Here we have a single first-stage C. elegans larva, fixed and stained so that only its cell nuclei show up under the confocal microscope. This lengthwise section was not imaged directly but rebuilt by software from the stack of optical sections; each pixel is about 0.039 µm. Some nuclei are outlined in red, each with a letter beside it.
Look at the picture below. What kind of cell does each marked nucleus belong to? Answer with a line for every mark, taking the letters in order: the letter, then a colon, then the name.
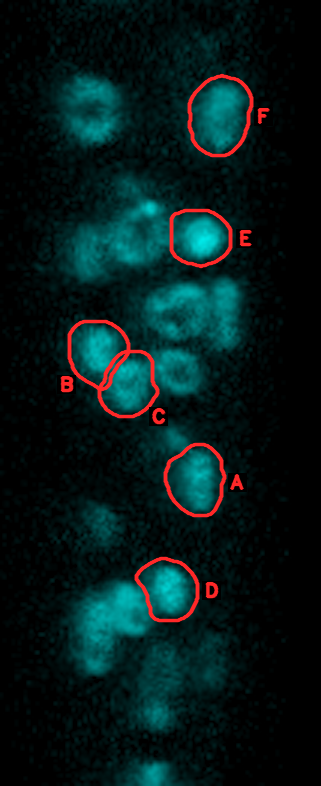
A: body wall muscle cell
B: neuron
C: body wall muscle cell
D: neuron
E: coelomocyte
F: seam cell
